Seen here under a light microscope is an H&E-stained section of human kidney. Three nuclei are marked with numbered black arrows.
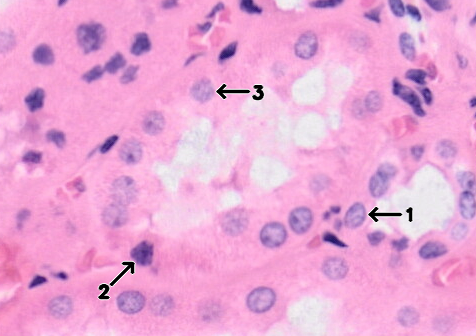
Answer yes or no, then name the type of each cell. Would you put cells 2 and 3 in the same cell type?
Yes, both are proximal tubule cells.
